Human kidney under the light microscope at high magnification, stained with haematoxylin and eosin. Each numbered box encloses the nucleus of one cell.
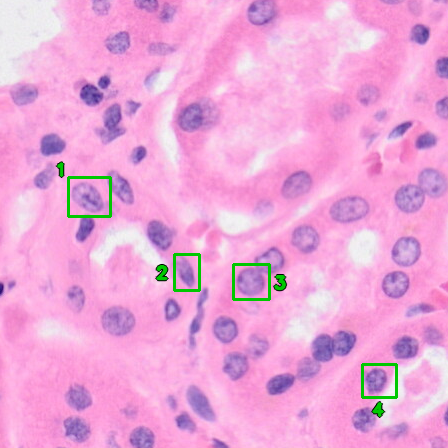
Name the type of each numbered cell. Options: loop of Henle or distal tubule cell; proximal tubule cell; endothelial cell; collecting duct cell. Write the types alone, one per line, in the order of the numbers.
collecting duct cell
collecting duct cell
proximal tubule cell
loop of Henle or distal tubule cell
